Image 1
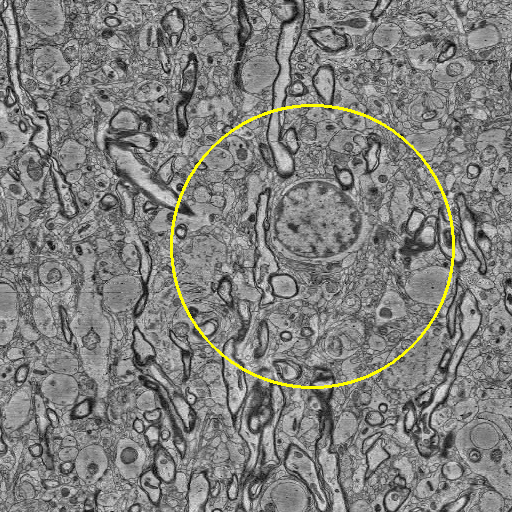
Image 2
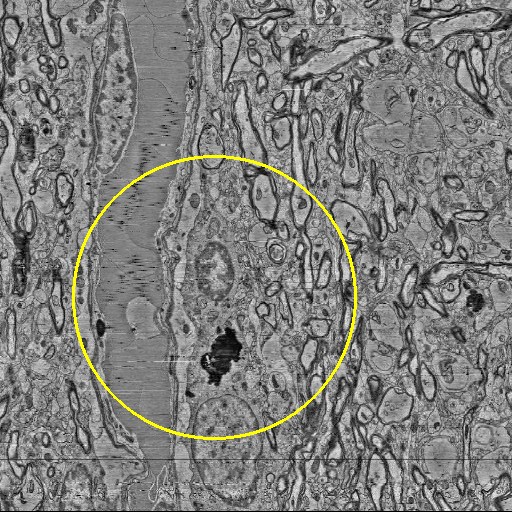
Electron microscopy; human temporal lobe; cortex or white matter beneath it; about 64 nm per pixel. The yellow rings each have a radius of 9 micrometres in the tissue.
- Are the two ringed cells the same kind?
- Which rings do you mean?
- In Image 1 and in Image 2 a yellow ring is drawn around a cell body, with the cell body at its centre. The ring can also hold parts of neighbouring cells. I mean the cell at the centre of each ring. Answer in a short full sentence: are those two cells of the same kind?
No, the cells are of two kinds.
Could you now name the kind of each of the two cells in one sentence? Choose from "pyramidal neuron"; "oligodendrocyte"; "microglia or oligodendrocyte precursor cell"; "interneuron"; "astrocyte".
The first ring encloses a microglial cell or oligodendrocyte precursor cell; the second ring encloses an oligodendrocyte.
